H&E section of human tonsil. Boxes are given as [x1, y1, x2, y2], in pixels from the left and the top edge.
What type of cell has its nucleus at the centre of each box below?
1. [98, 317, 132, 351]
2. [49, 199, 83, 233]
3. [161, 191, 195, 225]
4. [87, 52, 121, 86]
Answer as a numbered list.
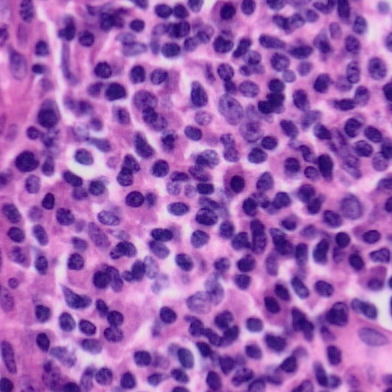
1. plasma cell
2. plasma cell
3. small lymphocyte
4. plasma cell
